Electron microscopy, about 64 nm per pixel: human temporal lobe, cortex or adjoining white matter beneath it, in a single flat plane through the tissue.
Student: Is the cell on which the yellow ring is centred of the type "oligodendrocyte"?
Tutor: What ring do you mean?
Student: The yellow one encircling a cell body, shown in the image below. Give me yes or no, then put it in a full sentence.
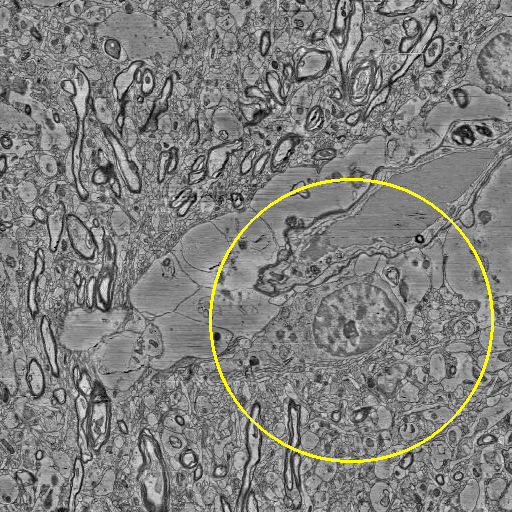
Yes, the cell on which the yellow ring in the image is centred has that type.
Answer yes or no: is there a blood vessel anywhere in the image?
Yes, one is visible.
